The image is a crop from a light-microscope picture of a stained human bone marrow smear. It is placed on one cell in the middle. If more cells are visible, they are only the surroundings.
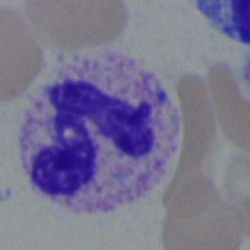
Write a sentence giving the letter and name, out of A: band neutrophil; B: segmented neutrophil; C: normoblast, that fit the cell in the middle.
Option B is right, the centrally situated cell being a segmented neutrophil.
